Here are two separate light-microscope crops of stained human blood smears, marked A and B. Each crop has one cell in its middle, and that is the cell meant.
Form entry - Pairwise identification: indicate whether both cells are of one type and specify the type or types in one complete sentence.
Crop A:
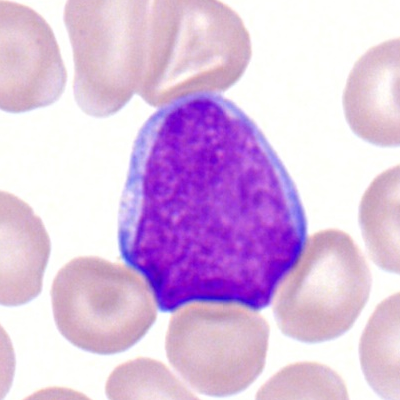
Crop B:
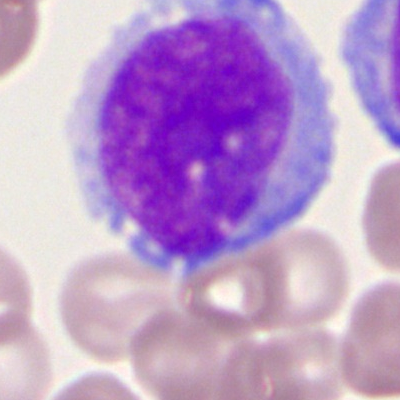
No, crop A shows a blast, with a monocyte shown in crop B.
